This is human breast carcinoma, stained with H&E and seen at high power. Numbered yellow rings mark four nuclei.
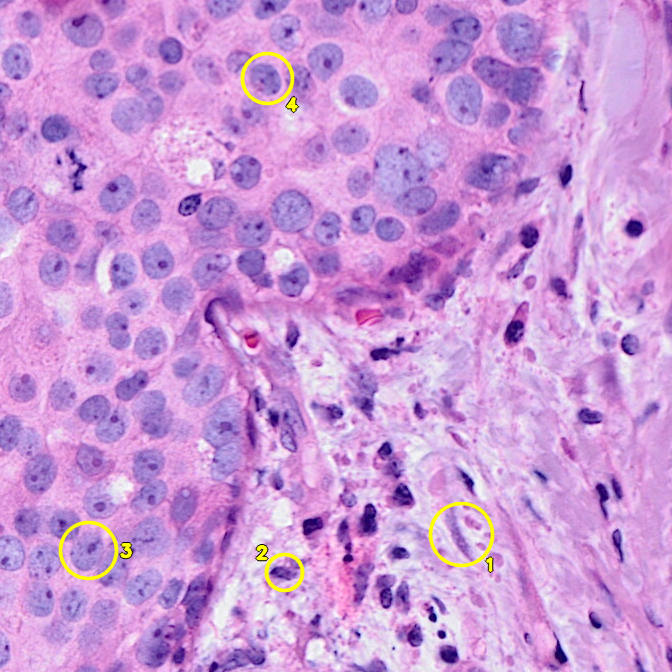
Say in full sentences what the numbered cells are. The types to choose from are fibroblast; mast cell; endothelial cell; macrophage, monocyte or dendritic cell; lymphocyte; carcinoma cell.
Cell 1 is a fibroblast. Cell 2 is a macrophage, monocyte or dendritic cell. Cells 3 and 4 are carcinoma cells.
